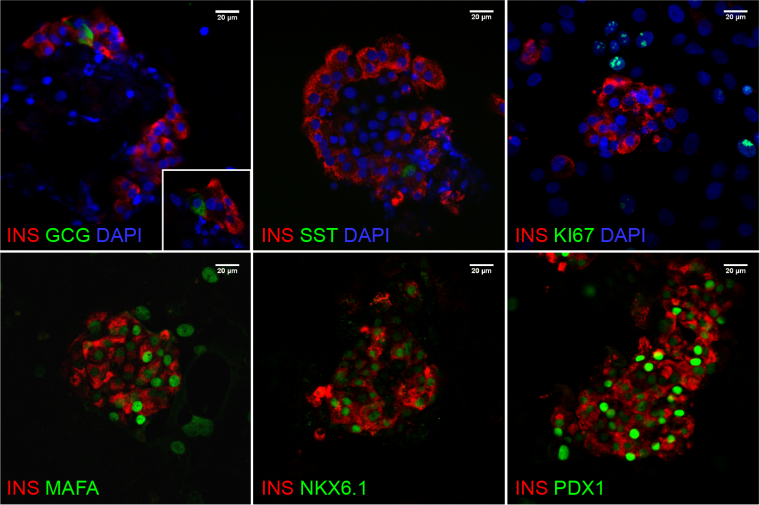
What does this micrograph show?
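These are cultured cells gathered into compact, rounded clusters, seen under fluorescence. In the upper images, with blue nuclei shown, only a rare cell in a cluster carries green in its cytoplasm, and a few scattered cells outside the clusters show green specks inside their nuclei. In the lower images the green lies within round nuclei, and many such green nuclei sit among the red-filled cytoplasm of the clustered cells.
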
